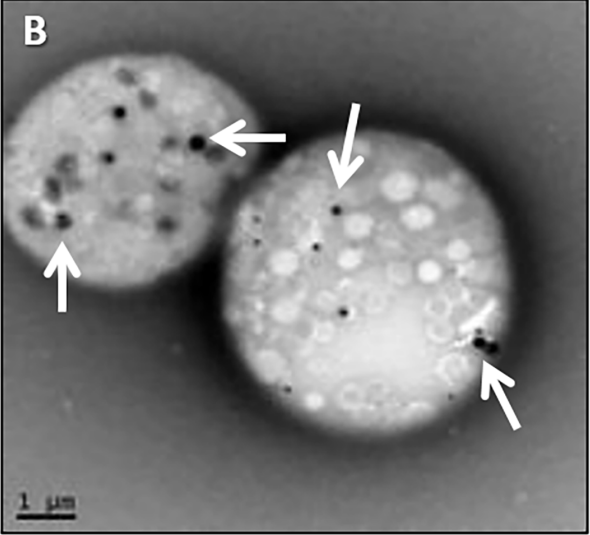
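Two small round platelets, each only a few micrometres across, lie side by side without a nucleus. Their cytoplasm holds many pale round granules and greyish spots. Scattered among them are a few very dark, dense dots, the delta granules, which stand out sharply against the rest of the cell.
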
